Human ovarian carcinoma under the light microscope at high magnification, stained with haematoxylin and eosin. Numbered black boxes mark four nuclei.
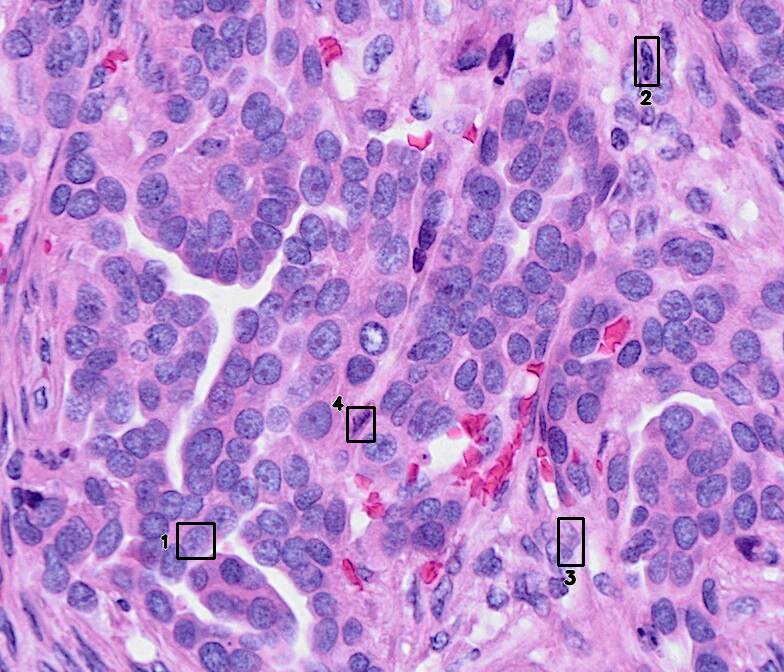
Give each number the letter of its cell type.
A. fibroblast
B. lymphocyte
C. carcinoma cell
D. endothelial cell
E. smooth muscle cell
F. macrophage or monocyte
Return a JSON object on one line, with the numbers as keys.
{"1": "C", "2": "B", "3": "A", "4": "A"}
